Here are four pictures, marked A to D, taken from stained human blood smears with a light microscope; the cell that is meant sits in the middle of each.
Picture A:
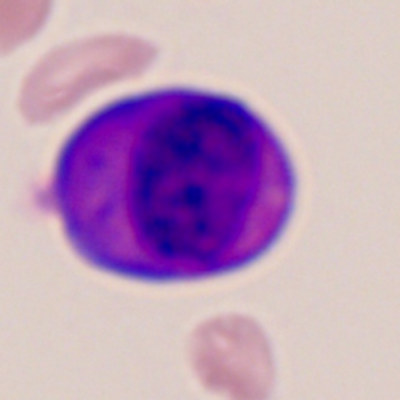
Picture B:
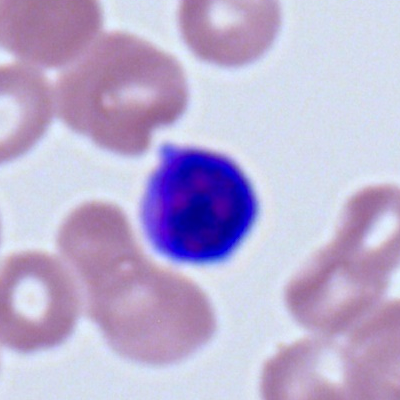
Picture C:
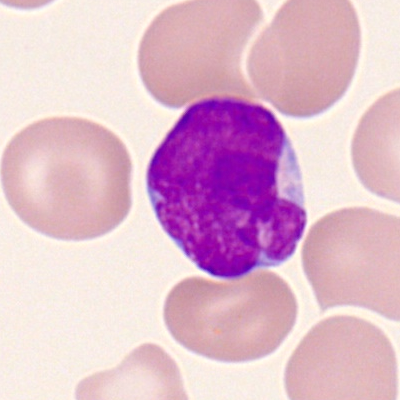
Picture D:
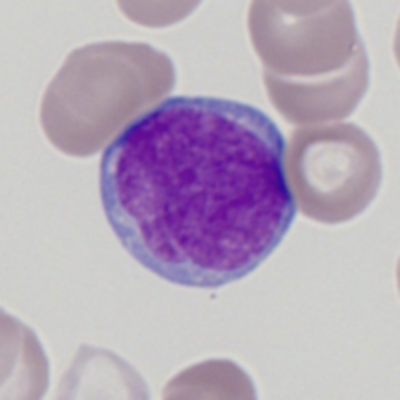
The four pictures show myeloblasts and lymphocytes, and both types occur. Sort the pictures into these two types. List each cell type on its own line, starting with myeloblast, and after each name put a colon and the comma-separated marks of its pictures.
myeloblast: A, C, D
lymphocyte: B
